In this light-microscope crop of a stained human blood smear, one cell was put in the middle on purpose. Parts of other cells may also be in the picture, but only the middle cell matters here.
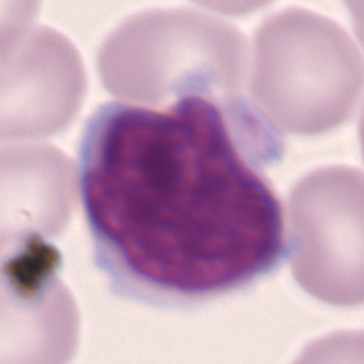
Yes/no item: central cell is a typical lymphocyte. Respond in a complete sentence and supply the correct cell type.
Yes, in the middle of the crop is a typical lymphocyte.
